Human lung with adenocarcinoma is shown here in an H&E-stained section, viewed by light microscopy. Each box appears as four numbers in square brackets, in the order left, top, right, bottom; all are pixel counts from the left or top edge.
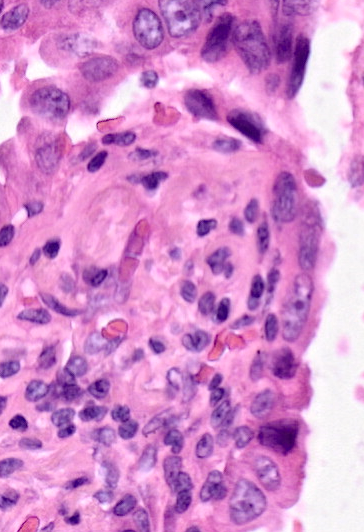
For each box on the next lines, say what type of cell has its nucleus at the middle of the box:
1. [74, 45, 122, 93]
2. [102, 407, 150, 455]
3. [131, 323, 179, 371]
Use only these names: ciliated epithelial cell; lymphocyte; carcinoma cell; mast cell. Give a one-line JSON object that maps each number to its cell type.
{"1": "carcinoma cell", "2": "lymphocyte", "3": "lymphocyte"}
